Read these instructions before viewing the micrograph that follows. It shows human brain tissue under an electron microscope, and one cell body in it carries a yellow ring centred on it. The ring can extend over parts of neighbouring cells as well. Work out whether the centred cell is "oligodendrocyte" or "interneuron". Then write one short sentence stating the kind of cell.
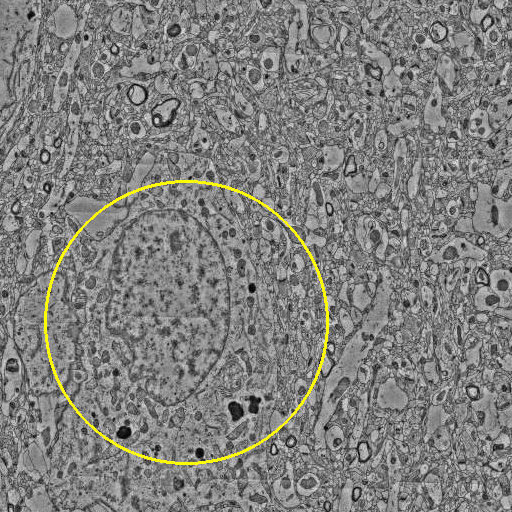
The ringed cell is an interneuron.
